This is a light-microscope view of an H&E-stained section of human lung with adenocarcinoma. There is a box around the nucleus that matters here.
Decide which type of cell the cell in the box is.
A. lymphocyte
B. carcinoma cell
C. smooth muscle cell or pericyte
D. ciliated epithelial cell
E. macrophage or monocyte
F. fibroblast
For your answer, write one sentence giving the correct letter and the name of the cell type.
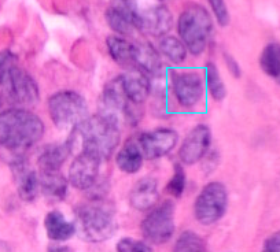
Option D is the one that fits, as the cell in the box is a ciliated epithelial cell.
